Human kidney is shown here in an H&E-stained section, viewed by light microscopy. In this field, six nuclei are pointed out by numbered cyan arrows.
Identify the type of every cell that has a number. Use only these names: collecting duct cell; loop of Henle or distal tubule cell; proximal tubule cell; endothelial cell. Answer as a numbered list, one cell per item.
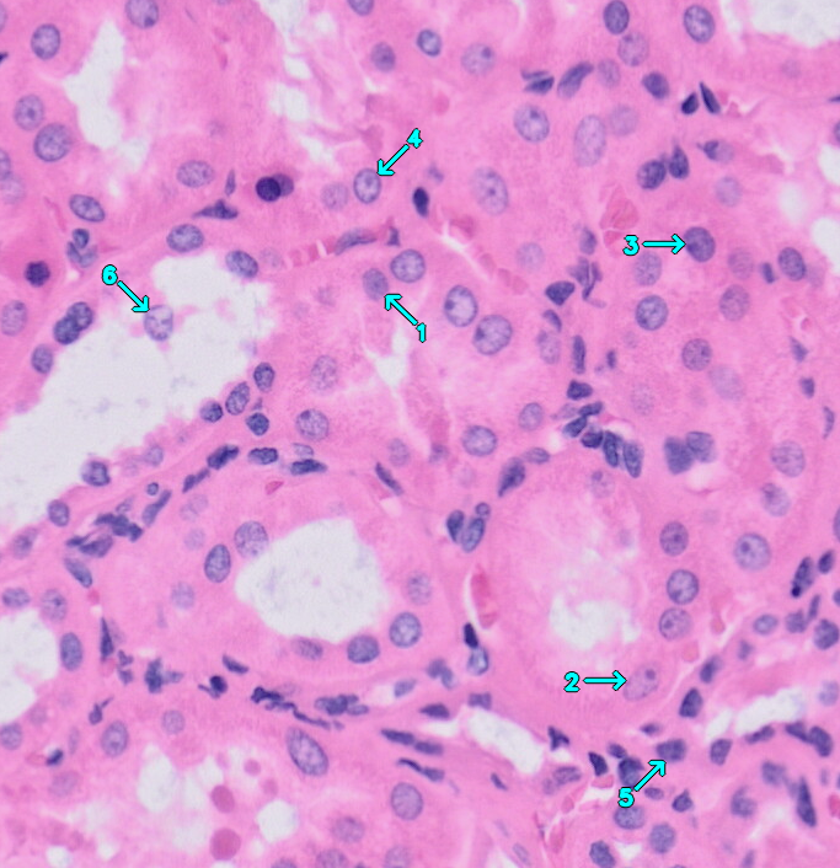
1. proximal tubule cell
2. proximal tubule cell
3. proximal tubule cell
4. proximal tubule cell
5. collecting duct cell
6. loop of Henle or distal tubule cell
